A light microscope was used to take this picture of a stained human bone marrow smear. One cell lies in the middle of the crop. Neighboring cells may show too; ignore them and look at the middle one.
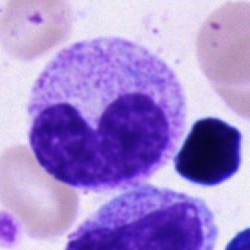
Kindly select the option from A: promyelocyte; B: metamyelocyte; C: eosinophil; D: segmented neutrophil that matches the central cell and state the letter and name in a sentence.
Located in the middle of the crop is a metamyelocyte, and option B is therefore correct.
